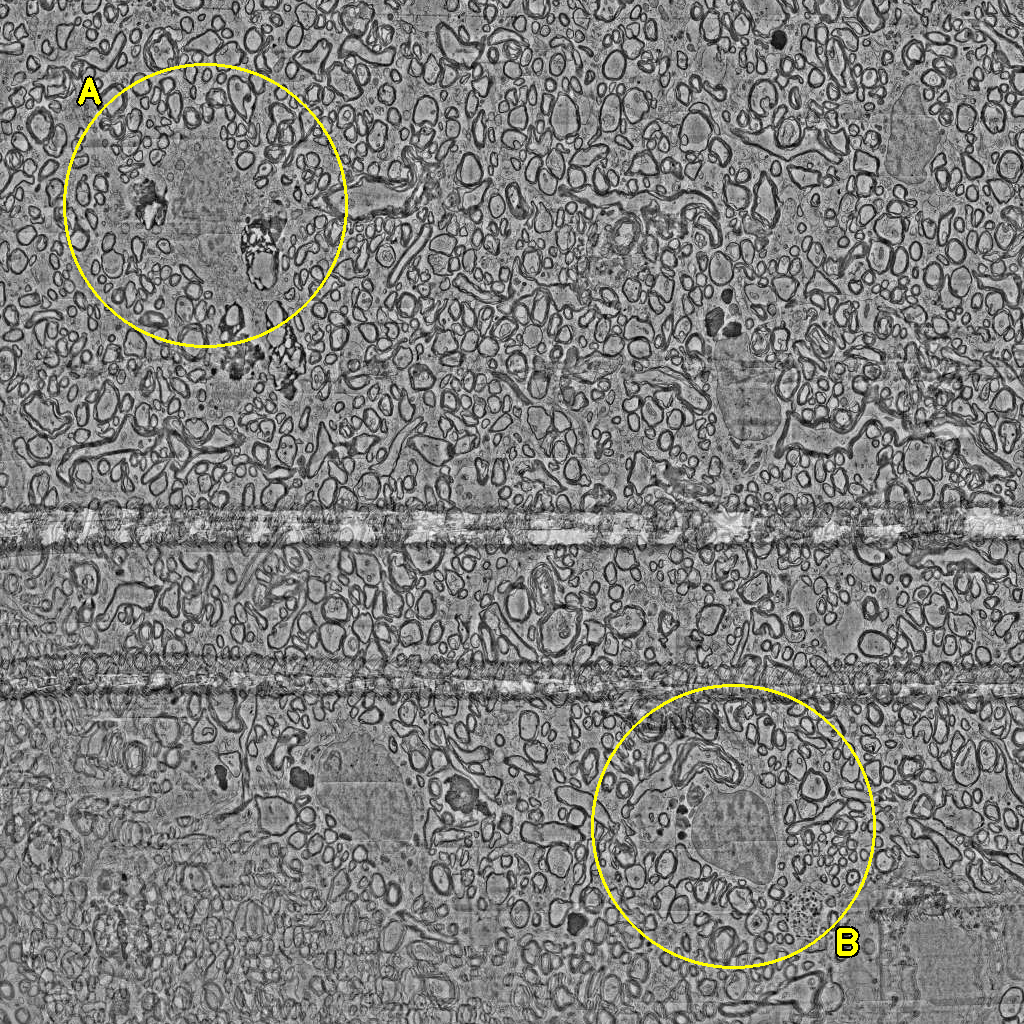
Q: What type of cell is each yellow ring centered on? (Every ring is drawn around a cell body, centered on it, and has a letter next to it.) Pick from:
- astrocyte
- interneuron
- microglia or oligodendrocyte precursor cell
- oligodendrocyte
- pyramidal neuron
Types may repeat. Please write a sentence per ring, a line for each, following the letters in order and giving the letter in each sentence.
The cell body centered in ring A belongs to an astrocyte.
The cell body centered in ring B belongs to a microglial cell or oligodendrocyte precursor cell.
